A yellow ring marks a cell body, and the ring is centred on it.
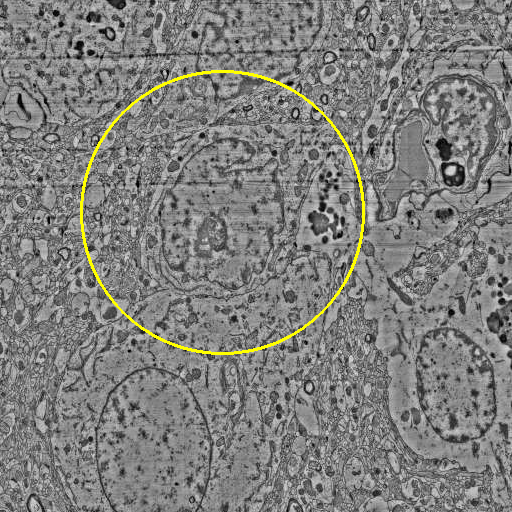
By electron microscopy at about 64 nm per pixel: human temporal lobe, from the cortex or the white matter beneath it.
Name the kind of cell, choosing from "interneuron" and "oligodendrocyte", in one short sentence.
The marked cell body belongs to an interneuron.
